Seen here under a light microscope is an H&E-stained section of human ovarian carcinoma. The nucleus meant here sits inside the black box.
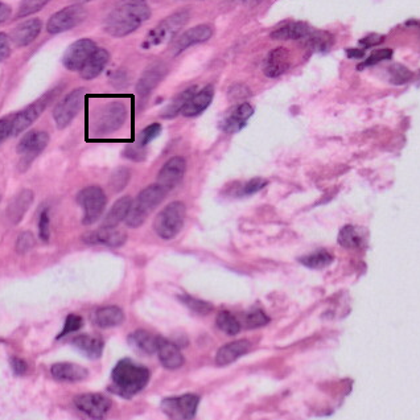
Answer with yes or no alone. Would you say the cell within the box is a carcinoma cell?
yes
